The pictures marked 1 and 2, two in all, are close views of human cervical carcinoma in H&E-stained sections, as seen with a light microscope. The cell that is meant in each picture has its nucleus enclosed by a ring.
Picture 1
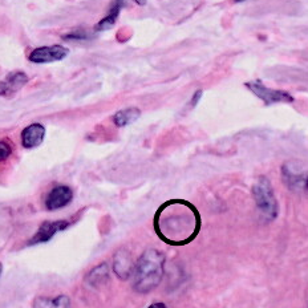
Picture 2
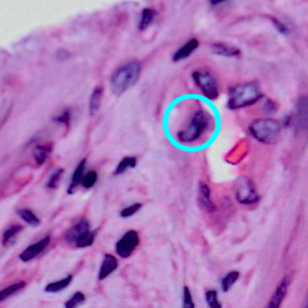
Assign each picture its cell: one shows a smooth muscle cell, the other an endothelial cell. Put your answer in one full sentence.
Picture 1 shows a smooth muscle cell and picture 2 shows an endothelial cell.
